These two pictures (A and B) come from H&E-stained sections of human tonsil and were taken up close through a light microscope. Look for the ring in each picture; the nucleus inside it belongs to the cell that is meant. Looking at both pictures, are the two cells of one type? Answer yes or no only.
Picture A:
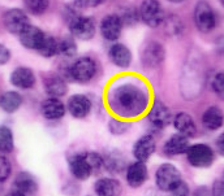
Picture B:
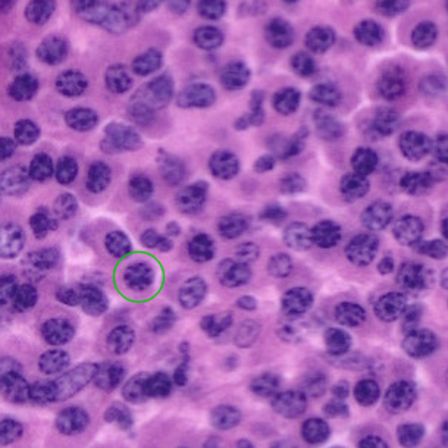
no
